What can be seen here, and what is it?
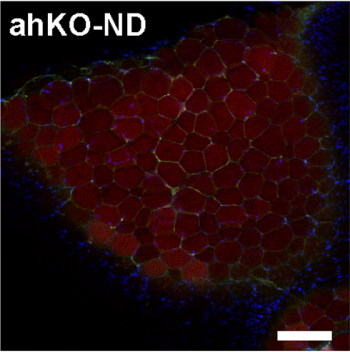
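Thin faint green lines trace the borders between neighbouring adipocytes, without rings or clusters around any one cell. Small blue nuclei are few inside the lobule and gather mostly along its outer edge.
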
